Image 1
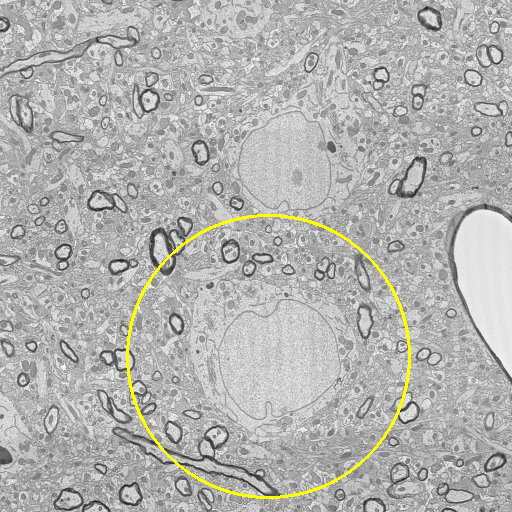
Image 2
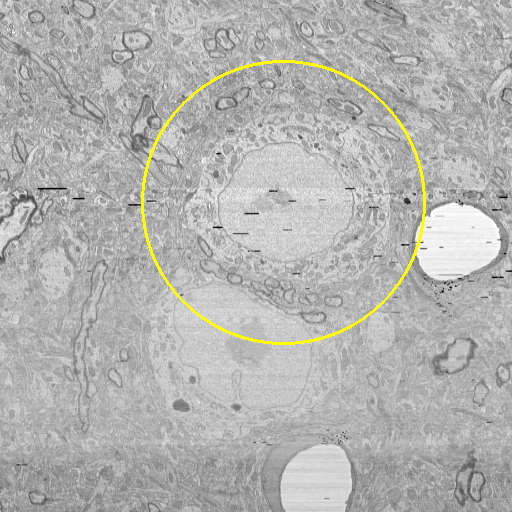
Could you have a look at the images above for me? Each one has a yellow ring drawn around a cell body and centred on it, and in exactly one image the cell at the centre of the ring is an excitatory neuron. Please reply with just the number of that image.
1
